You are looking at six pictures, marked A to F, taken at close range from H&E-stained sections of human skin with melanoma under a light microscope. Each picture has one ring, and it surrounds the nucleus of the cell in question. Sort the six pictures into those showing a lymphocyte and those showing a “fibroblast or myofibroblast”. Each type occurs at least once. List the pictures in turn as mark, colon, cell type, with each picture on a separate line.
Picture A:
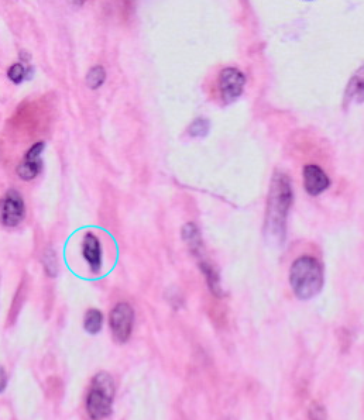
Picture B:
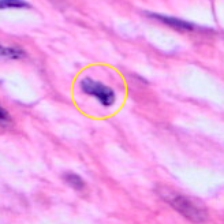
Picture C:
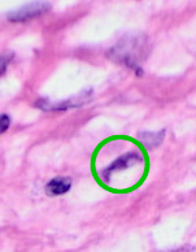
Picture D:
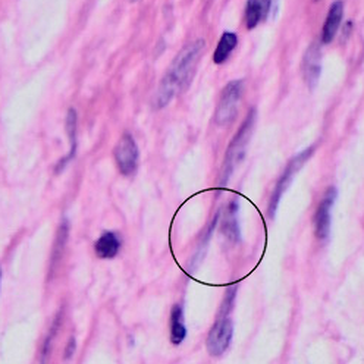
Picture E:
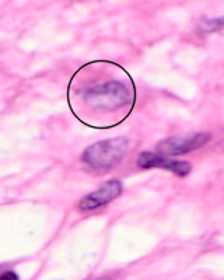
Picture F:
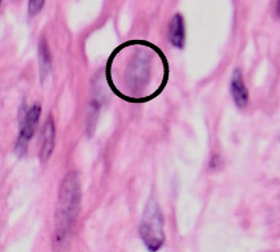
A: lymphocyte
B: lymphocyte
C: fibroblast or myofibroblast
D: fibroblast or myofibroblast
E: fibroblast or myofibroblast
F: fibroblast or myofibroblast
